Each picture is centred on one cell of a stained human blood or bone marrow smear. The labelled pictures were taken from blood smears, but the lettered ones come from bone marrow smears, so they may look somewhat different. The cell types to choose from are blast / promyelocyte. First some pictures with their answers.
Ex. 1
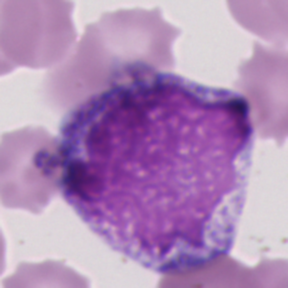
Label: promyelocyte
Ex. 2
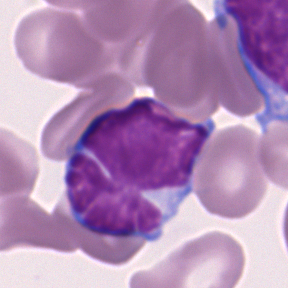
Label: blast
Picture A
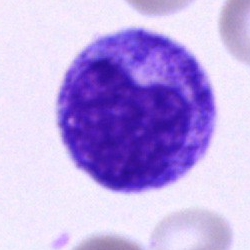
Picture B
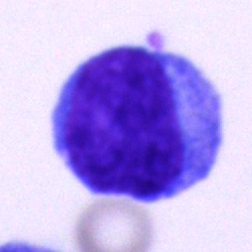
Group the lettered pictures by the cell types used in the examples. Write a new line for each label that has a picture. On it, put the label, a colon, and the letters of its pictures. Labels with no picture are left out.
blast: B
promyelocyte: A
